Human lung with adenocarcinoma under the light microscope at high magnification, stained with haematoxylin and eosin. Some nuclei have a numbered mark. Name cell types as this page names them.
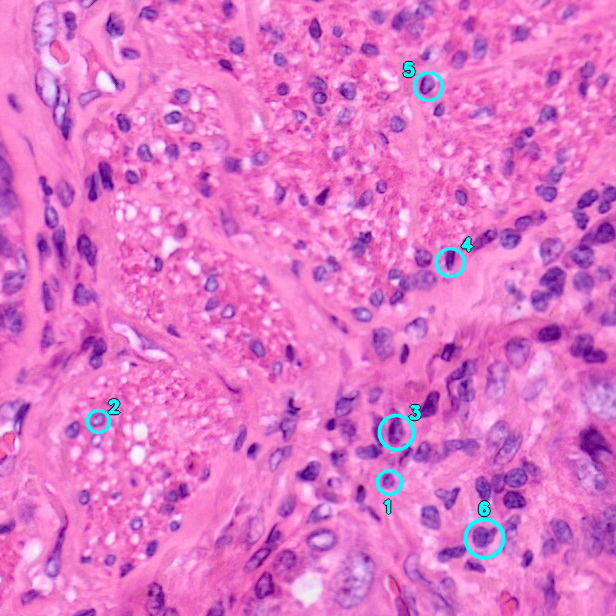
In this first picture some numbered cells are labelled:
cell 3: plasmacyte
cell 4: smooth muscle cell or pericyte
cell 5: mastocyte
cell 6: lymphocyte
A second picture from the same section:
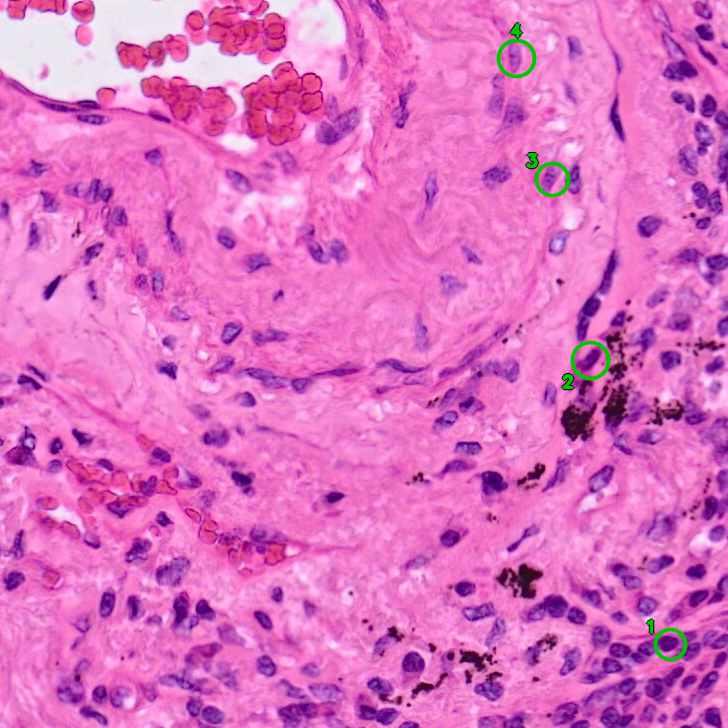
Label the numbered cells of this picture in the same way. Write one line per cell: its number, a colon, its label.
1: lymphocyte
2: plasmacyte
3: smooth muscle cell or pericyte
4: smooth muscle cell or pericyte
